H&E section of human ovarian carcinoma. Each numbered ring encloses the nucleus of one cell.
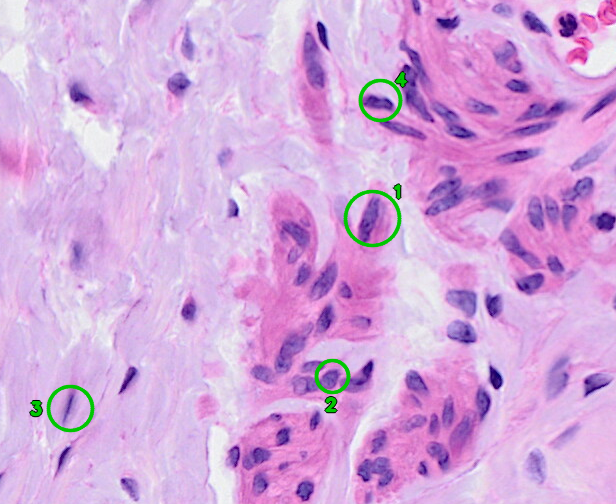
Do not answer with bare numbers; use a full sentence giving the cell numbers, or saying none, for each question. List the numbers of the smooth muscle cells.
By cell type, the cells numbered 1, 2 and 4 are smooth muscle cells.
